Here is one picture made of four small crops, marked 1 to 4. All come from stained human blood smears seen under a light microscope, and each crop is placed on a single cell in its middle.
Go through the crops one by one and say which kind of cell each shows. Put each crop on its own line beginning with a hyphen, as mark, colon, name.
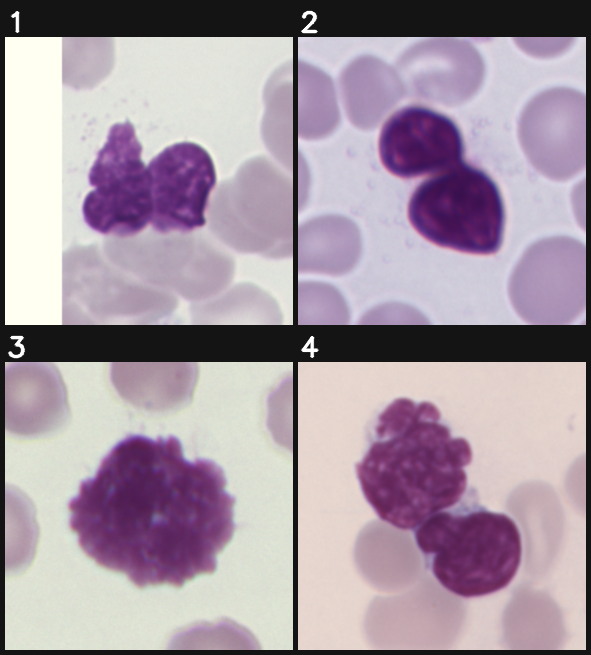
- 1: smudge cell
- 2: smudge cell
- 3: smudge cell
- 4: myeloblast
